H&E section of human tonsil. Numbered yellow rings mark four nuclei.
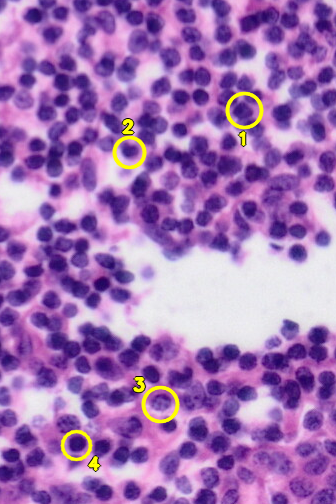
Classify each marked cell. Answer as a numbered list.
1. small lymphocyte
2. small lymphocyte
3. plasma cell
4. small lymphocyte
